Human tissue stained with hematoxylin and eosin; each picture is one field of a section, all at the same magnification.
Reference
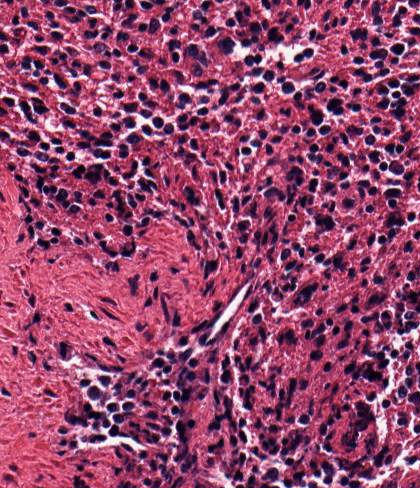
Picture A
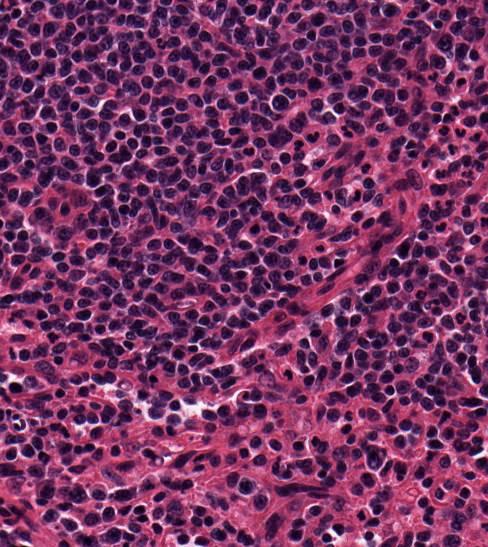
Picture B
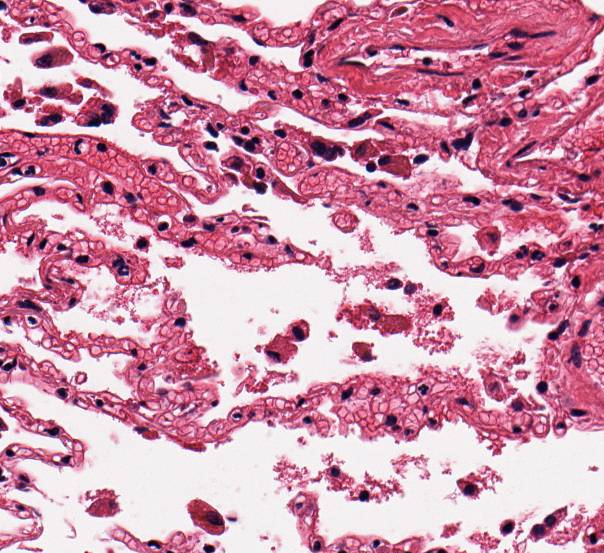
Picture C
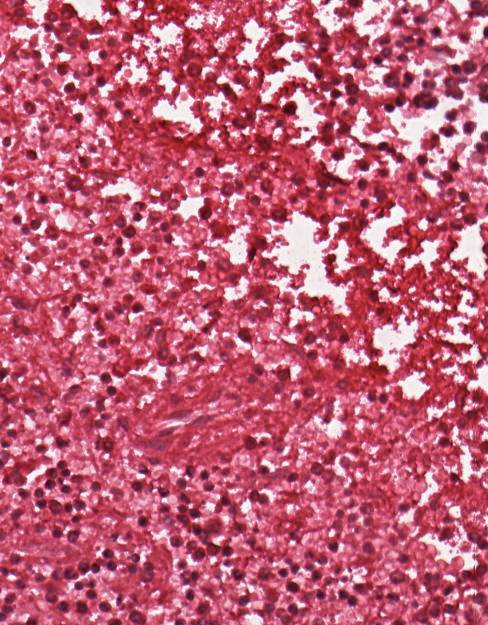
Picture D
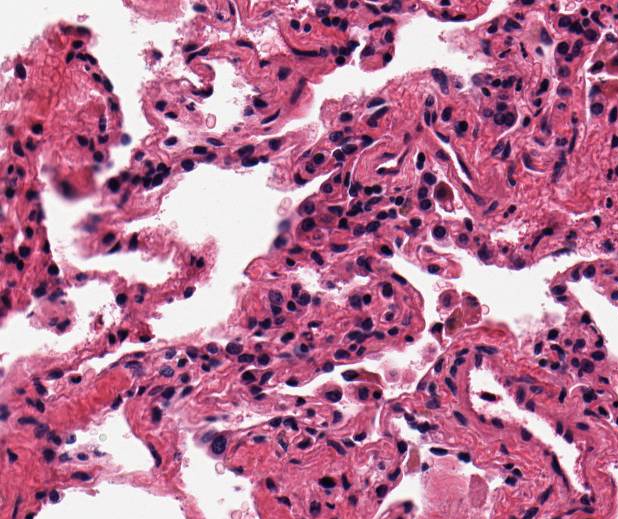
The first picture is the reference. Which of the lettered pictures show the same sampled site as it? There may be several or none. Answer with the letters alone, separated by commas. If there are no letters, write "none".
A, C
